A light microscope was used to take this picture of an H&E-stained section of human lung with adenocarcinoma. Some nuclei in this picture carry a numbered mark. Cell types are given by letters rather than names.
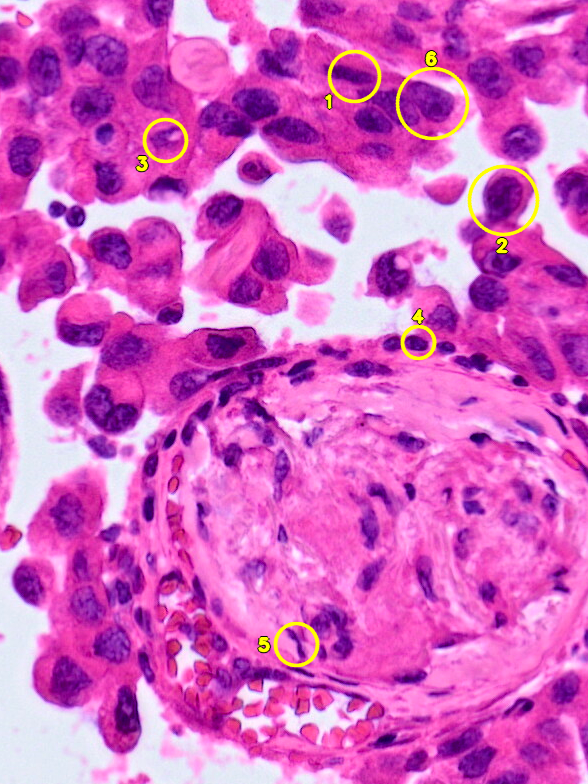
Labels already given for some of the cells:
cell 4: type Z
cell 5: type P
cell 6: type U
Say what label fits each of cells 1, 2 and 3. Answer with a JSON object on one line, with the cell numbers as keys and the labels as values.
{"1": "type U", "2": "type U", "3": "type U"}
